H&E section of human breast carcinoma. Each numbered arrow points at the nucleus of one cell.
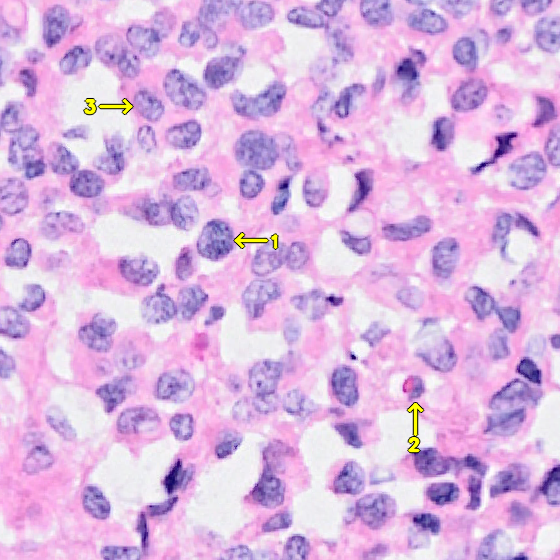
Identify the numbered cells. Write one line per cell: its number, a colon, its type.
1: carcinoma cell
2: endothelial cell
3: carcinoma cell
